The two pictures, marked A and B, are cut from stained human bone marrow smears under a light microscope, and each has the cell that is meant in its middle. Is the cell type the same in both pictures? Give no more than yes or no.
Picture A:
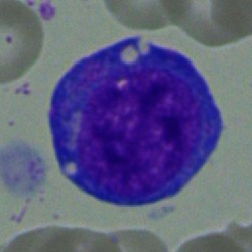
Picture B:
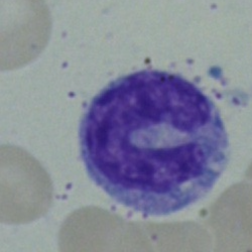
no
